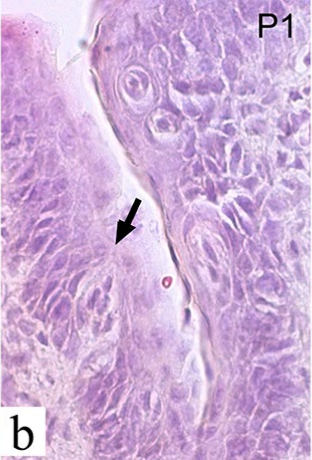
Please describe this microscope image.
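Two walls of stratified epithelium face each other across a very narrow slit-like cleft, stained purple. The cells are closely packed, with oval nuclei and pale pink cytoplasm. In the upper right wall, rounded whorled groups of cells stand out within the epithelium.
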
